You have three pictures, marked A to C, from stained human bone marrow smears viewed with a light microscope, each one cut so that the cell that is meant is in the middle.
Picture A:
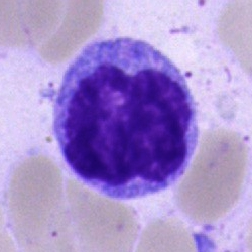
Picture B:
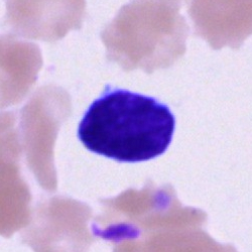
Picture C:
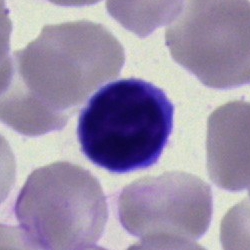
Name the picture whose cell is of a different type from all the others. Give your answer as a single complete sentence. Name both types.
The others show lymphocytes, but picture A shows a monocyte.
